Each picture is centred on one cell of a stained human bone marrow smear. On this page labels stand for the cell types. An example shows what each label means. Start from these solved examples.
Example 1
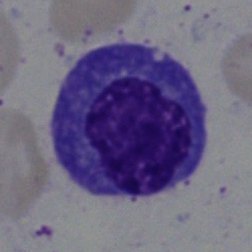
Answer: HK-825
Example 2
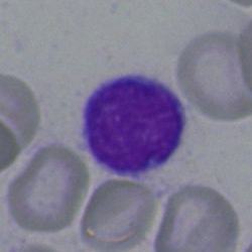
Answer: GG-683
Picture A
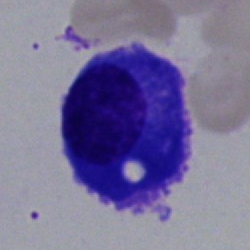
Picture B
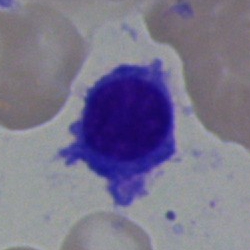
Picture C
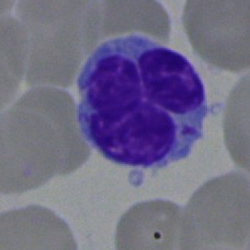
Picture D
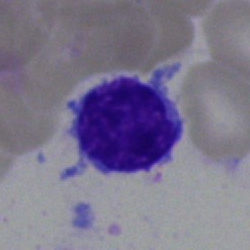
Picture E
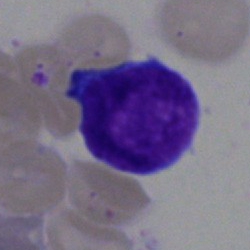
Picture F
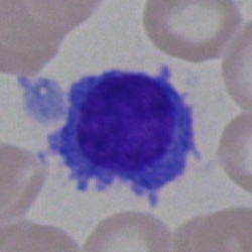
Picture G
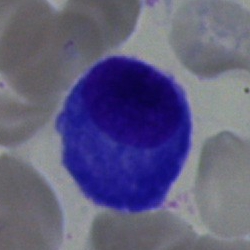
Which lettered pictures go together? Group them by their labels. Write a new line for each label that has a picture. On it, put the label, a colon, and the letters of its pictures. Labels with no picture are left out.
HK-825: A, B, F, G
GG-683: C, D, E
